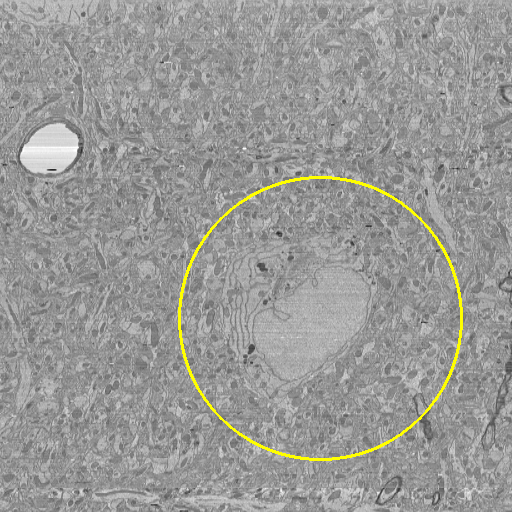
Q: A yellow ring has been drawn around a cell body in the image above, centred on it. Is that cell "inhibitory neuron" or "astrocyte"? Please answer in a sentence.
The ring surrounds the cell body of an inhibitory neuron.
